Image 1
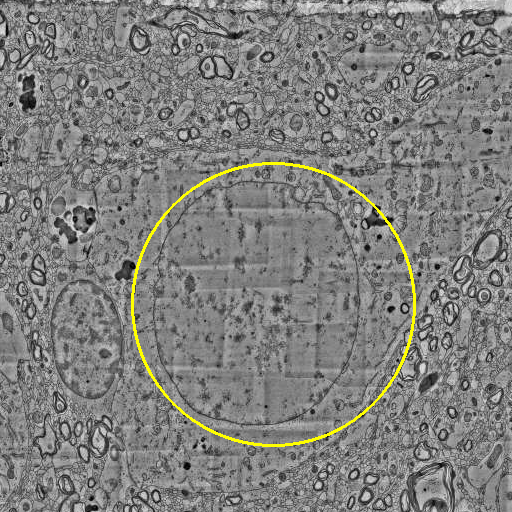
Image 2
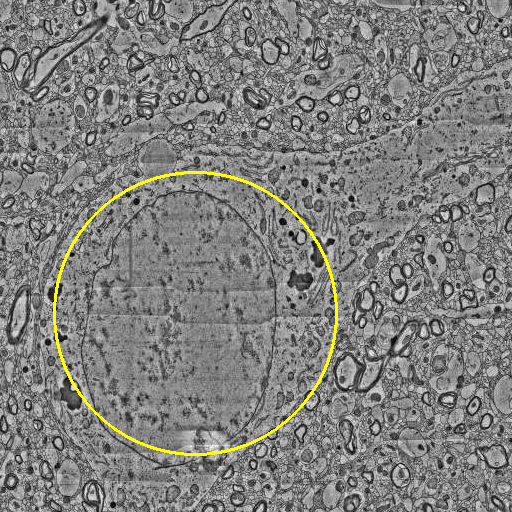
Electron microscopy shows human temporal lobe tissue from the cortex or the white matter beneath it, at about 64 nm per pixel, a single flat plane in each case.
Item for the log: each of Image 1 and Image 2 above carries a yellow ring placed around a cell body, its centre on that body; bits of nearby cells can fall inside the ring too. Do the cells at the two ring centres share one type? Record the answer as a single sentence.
Yes, the two cells at the ring centres in Image 1 and Image 2 share one type.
